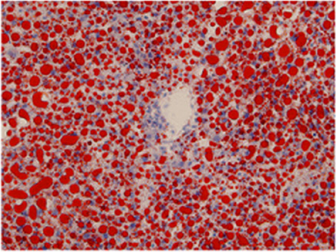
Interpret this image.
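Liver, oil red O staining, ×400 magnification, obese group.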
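Blue nuclei are visible between the droplets. A vessel lumen with pale surroundings lies near the centre. The largest droplets are irregular and appear merged, especially toward the lower left.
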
